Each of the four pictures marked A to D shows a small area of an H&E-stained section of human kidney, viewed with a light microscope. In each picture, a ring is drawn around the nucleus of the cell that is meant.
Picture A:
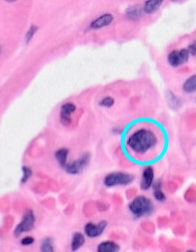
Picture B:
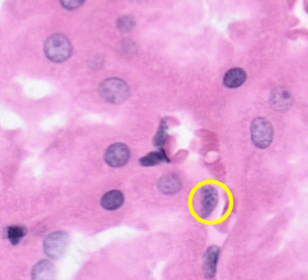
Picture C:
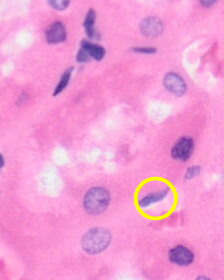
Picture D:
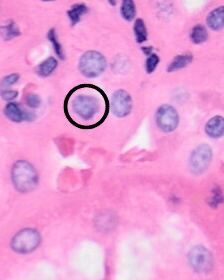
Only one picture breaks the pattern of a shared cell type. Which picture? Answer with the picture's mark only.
D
